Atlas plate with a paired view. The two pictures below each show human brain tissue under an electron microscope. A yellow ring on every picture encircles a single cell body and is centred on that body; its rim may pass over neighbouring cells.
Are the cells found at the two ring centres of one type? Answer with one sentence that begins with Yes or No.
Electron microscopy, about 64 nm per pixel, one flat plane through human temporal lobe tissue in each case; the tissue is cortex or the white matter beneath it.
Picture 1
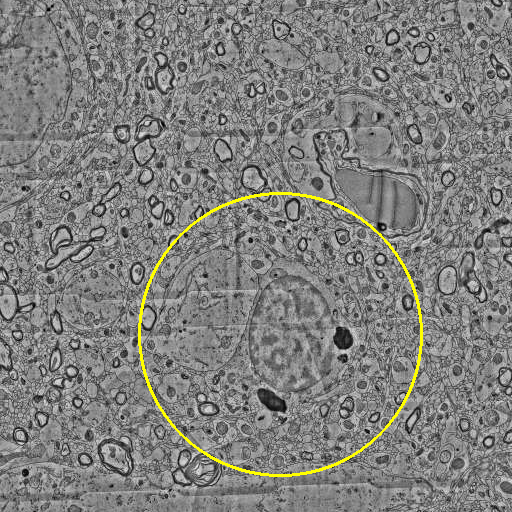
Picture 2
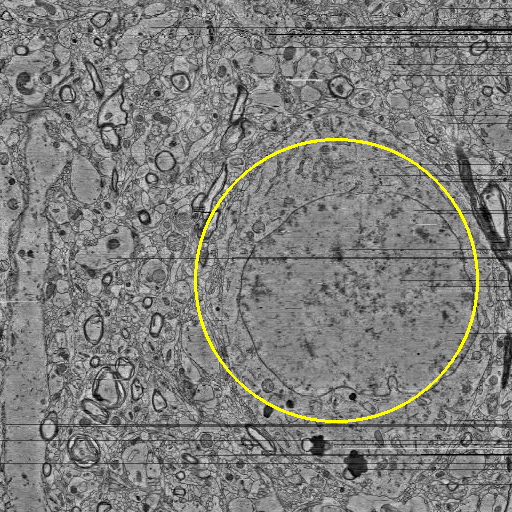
No, the two cells lying at the centres of the rings are of two types.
